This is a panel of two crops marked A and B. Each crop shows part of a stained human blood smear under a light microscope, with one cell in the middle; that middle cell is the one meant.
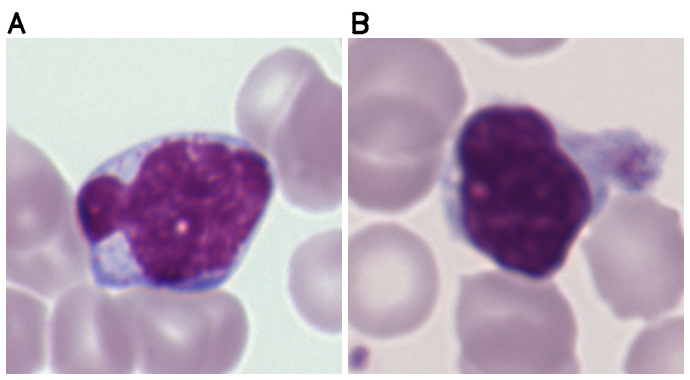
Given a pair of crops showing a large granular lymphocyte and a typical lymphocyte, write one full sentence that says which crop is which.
The cell centred in crop A is a large granular lymphocyte, and the one centred in crop B is a typical lymphocyte.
